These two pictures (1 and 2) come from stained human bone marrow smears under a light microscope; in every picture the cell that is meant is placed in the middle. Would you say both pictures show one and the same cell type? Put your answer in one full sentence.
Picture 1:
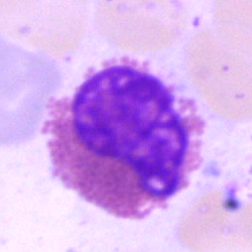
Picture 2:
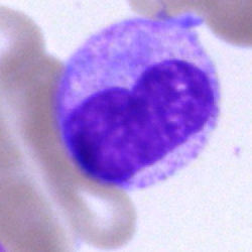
No, the types are not the same, since picture 1 shows an eosinophil and picture 2 a metamyelocyte.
